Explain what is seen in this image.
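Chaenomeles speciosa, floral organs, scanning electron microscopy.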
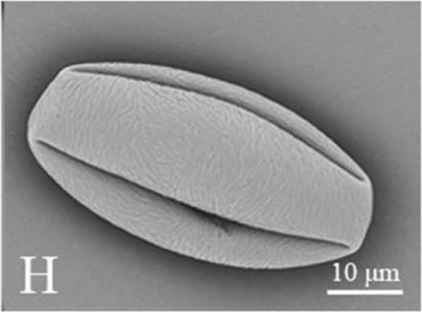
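A single pollen grain seen in equatorial view, elongated and elliptical with tapering ends. Long narrow furrows run lengthwise from pole to pole, and the wall between them carries a fine striate, finger-print-like sculpture.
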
